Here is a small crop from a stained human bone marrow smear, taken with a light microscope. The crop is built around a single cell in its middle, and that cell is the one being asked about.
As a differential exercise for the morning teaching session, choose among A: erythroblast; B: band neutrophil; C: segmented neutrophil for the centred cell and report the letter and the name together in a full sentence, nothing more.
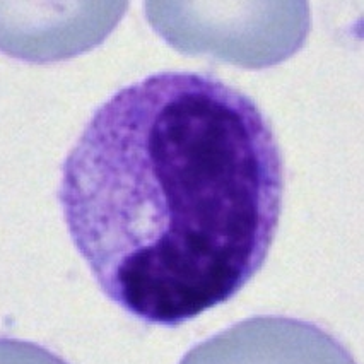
In the middle of the crop is a band neutrophil; option B is therefore correct.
